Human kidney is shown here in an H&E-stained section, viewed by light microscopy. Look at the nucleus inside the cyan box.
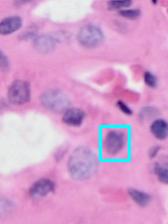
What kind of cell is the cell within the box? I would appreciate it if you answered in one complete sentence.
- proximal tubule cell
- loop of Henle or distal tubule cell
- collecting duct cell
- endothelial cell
In this section, the cell within the box is a loop of Henle or distal tubule cell.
